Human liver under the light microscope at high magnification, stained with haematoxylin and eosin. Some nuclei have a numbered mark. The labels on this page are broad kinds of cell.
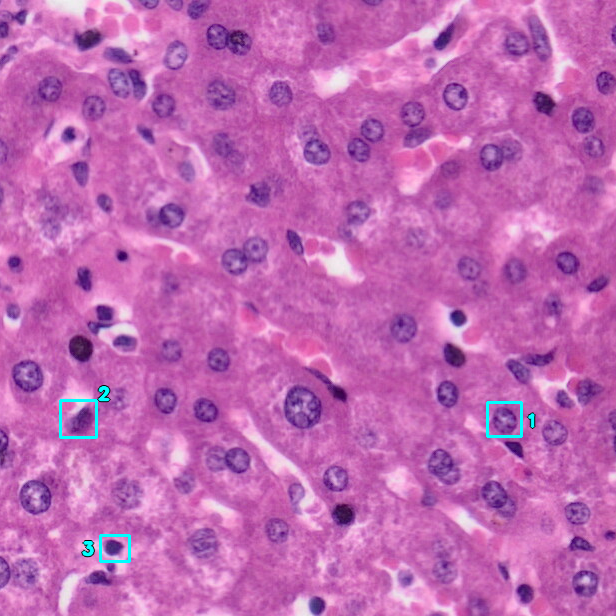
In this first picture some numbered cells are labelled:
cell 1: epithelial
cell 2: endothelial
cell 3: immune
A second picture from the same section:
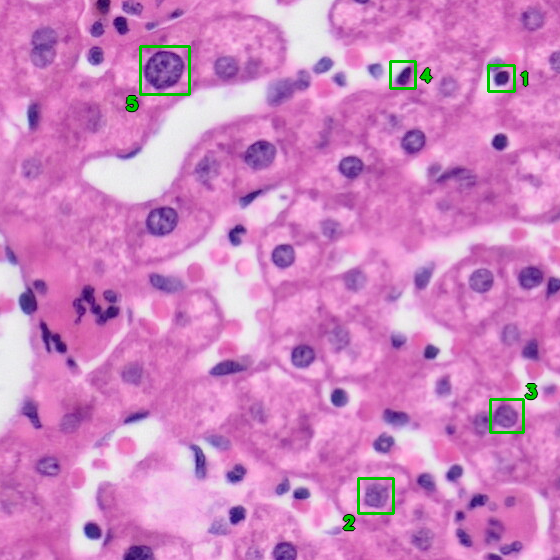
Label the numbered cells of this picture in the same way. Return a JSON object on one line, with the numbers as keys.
{"1": "immune", "2": "epithelial", "3": "epithelial", "4": "endothelial", "5": "epithelial"}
